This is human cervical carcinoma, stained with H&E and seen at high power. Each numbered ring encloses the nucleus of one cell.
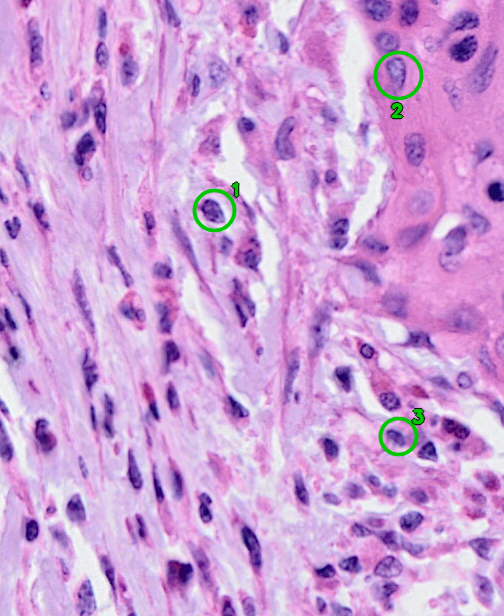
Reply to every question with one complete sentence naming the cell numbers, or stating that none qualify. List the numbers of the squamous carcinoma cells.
Where the numbered cells are concerned, only number 2 is a squamous carcinoma cell.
